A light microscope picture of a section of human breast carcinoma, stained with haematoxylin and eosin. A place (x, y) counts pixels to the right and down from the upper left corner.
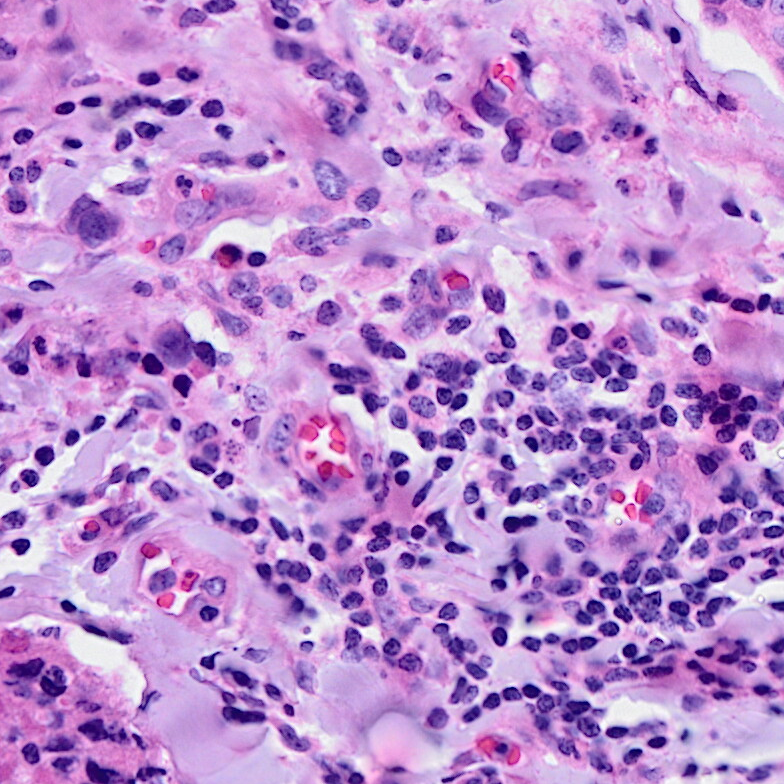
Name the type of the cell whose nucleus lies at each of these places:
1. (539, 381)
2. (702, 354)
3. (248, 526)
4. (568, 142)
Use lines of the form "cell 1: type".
cell 1: lymphocyte
cell 2: lymphocyte
cell 3: lymphocyte
cell 4: carcinoma cell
